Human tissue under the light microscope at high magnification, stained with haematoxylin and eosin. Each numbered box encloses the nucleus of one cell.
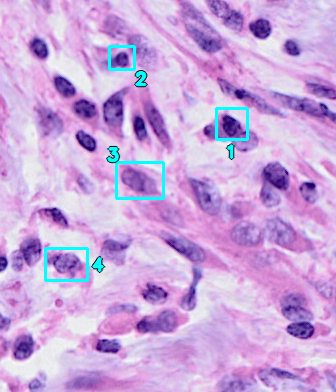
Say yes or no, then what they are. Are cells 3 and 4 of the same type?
Yes, cells 3 and 4 are two macrophages or monocytes.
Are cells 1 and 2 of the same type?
Yes, just like cell 1, cell 2 is one of the lymphocytes.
